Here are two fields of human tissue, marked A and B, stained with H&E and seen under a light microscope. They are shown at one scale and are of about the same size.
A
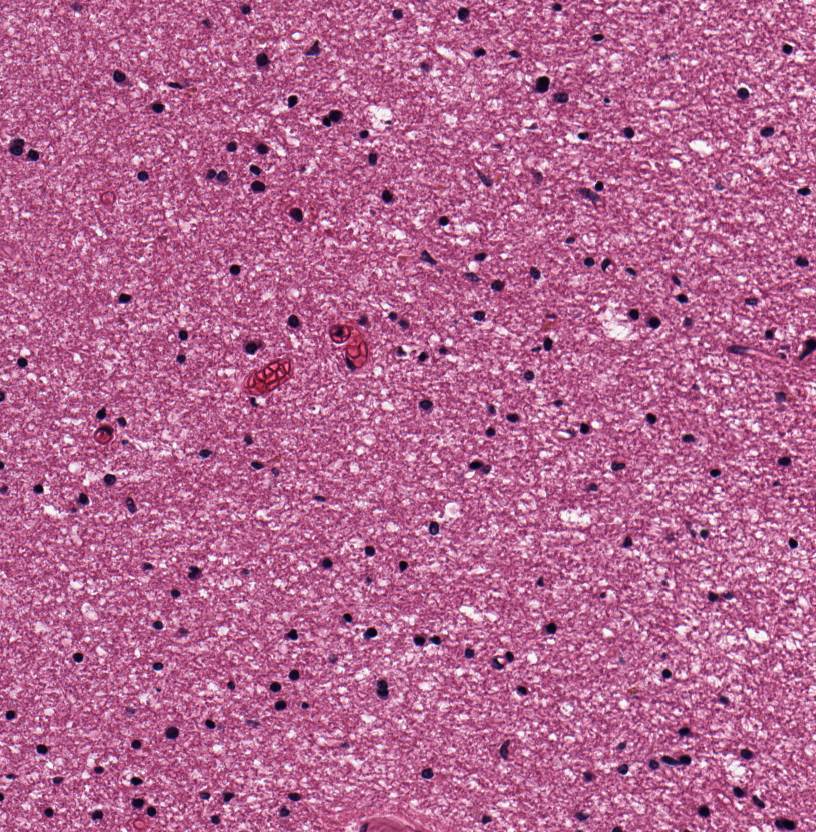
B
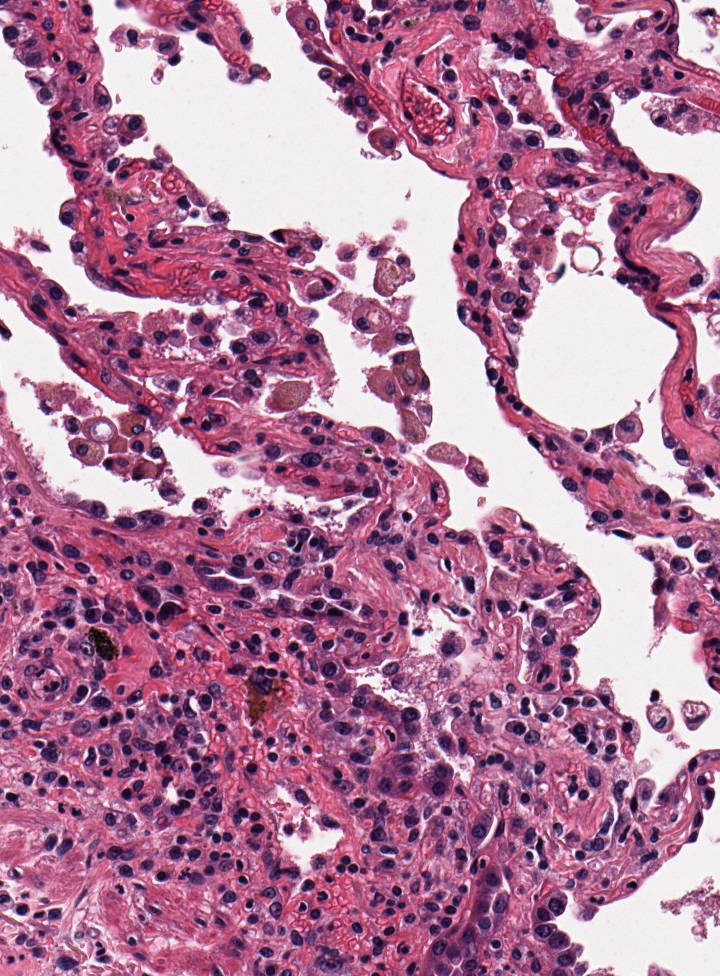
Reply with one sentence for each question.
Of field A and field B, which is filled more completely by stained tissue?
Less of field A is empty and white.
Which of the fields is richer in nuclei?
It is field B that has more nuclei in it.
